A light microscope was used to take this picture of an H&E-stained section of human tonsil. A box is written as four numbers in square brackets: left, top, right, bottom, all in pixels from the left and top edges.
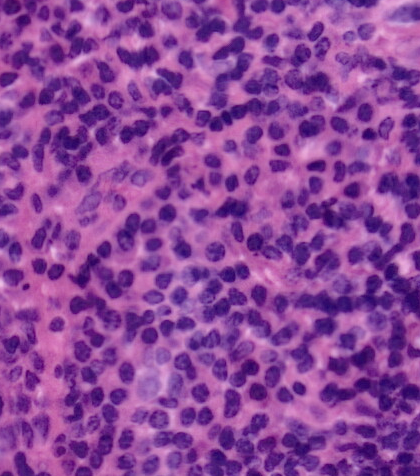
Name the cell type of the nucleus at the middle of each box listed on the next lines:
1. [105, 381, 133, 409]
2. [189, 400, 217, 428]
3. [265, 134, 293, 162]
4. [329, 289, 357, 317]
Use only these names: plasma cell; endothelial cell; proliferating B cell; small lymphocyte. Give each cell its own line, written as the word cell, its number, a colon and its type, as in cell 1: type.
cell 1: plasma cell
cell 2: plasma cell
cell 3: plasma cell
cell 4: small lymphocyte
